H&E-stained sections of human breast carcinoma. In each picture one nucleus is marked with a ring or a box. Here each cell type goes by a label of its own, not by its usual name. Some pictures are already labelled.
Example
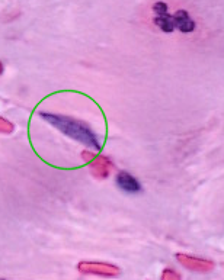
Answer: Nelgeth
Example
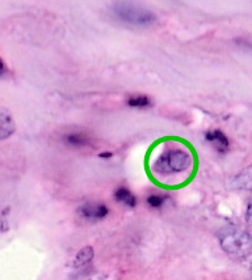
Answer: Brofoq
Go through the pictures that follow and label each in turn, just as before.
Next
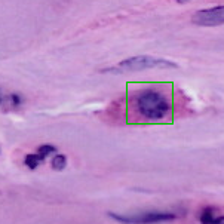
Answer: Brofoq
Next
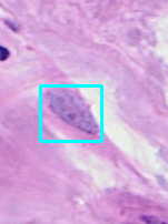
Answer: Nelgeth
